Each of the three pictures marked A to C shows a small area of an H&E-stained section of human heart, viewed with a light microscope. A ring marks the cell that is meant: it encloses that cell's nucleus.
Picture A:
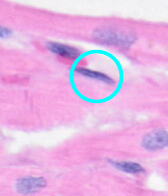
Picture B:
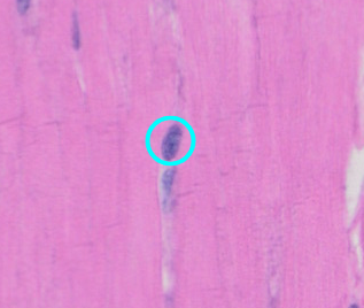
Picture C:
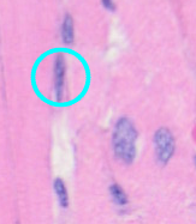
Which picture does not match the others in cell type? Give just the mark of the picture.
A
